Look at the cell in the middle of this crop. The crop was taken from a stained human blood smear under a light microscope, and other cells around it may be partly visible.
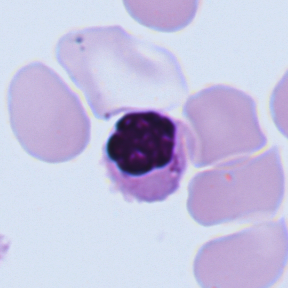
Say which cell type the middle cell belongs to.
normoblast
